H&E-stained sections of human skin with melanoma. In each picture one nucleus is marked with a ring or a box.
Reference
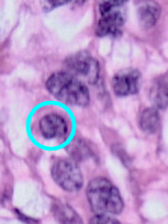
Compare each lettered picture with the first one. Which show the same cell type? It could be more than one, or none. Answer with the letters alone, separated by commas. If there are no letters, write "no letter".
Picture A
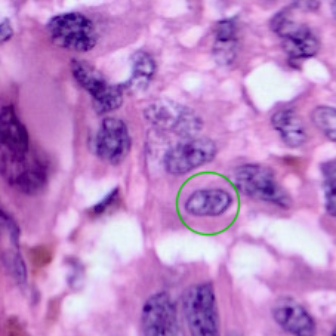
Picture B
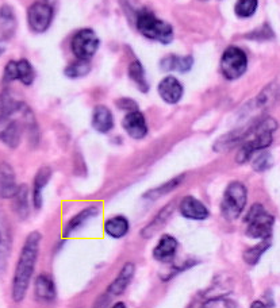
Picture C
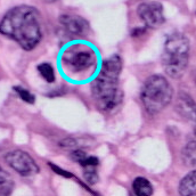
A, C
